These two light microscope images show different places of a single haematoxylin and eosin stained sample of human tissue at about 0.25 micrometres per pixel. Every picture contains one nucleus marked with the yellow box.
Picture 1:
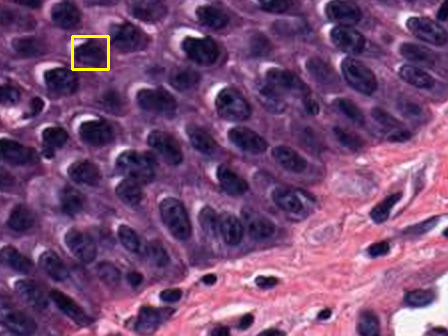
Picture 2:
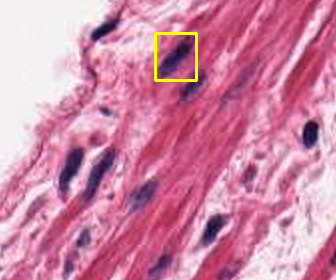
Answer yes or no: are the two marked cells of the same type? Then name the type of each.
No, the first is a squamous epithelial cell and the second a smooth muscle cell.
